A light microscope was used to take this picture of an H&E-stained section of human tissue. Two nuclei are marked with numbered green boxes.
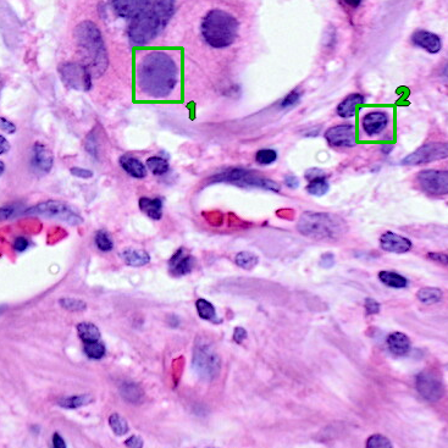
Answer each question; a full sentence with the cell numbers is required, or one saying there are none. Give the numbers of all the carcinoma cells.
Only the cell with the number 1 is a carcinoma cell.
